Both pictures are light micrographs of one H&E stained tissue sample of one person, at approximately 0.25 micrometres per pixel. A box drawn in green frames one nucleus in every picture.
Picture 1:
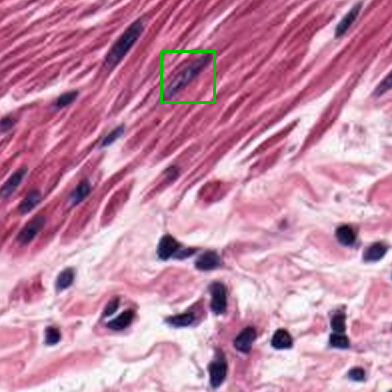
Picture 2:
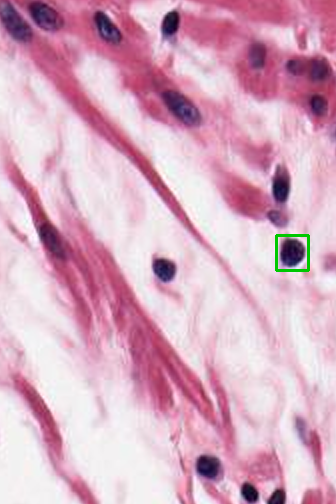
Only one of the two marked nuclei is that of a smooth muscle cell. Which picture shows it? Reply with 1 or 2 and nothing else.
1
